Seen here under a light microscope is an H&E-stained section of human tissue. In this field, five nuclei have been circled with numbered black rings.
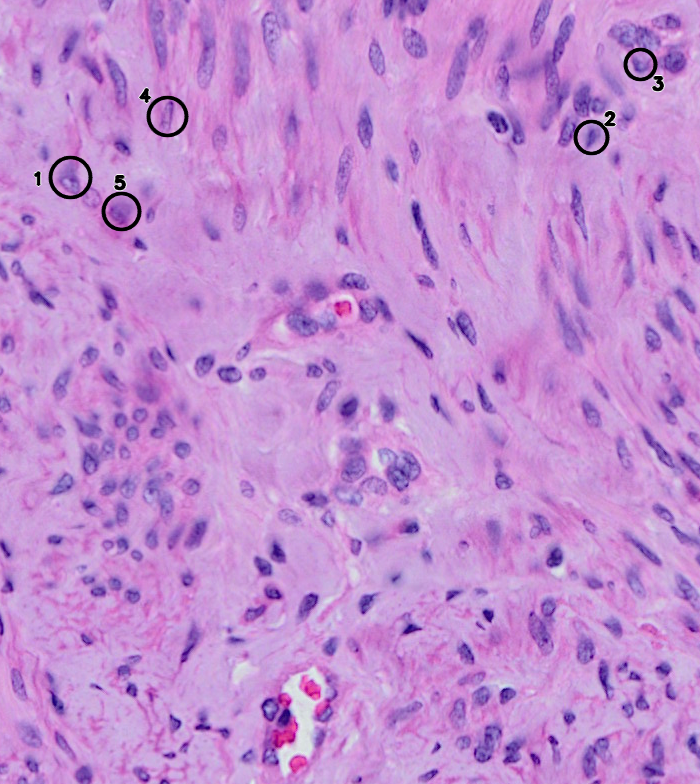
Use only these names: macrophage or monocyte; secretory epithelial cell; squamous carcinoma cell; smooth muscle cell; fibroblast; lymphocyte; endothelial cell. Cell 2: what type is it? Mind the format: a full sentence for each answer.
The cell that goes by number 2 is a fibroblast.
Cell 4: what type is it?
The cell numbered 4 represents a smooth muscle cell.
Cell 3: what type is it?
Cell 3 is classified as an endothelial cell.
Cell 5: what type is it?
Cell 5 should be recorded as a smooth muscle cell.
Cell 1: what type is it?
The correct answer for cell 1 is a smooth muscle cell.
